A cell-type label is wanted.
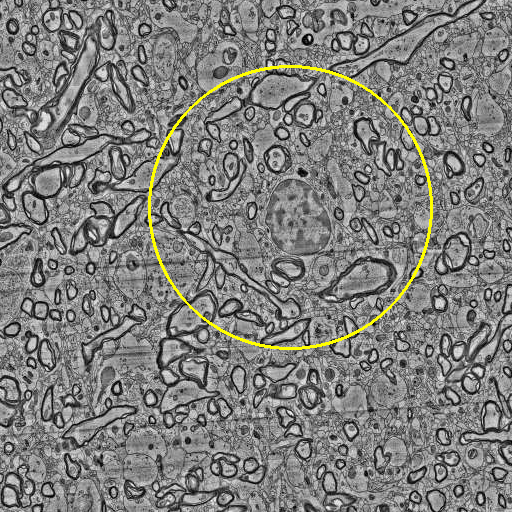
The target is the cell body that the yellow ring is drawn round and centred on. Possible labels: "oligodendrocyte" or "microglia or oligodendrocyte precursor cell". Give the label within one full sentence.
Of the labels offered, the cell in the middle of the yellow ring is a microglial cell or oligodendrocyte precursor cell.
